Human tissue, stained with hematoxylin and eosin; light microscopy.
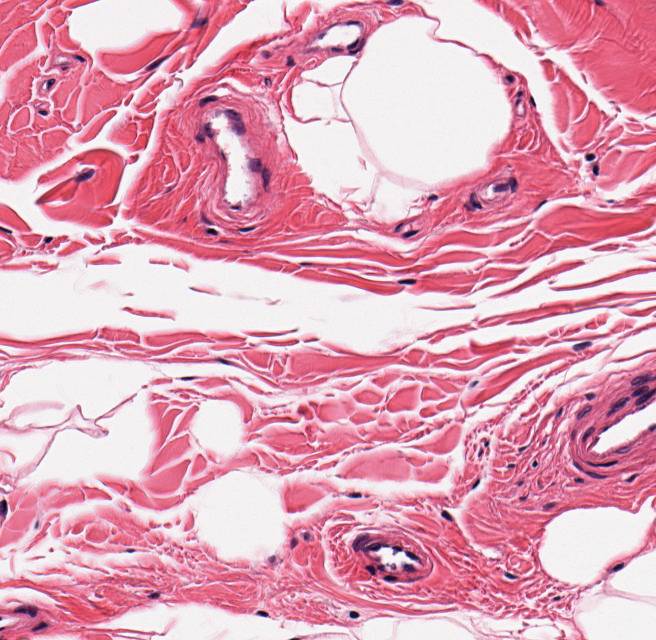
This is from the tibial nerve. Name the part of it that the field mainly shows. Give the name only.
epineurium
